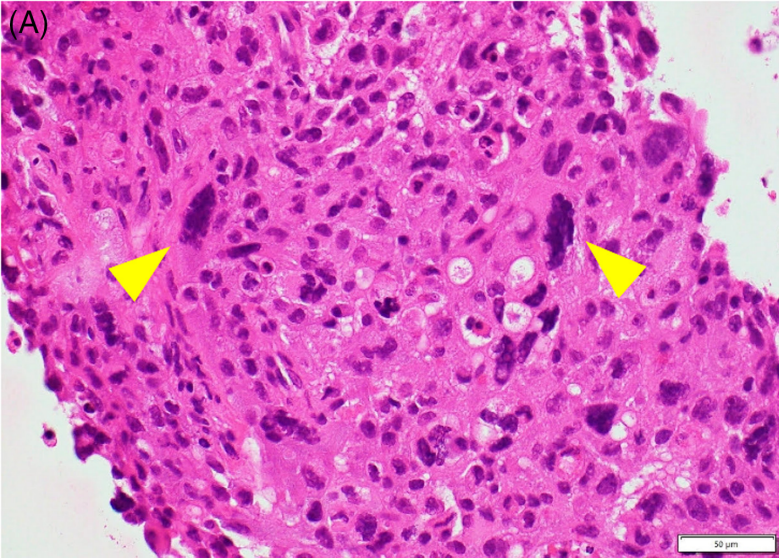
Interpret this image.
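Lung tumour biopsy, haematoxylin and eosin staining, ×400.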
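The cells have pink cytoplasm and crowd closely together, with no orderly arrangement. Their nuclei vary strikingly in size and shape, and many are dark and irregular. Some cells are giant cells, much larger than their neighbours, with huge, very dark, irregular nuclei. Small clear vacuoles are scattered through the sheet.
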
